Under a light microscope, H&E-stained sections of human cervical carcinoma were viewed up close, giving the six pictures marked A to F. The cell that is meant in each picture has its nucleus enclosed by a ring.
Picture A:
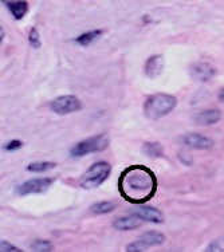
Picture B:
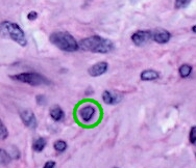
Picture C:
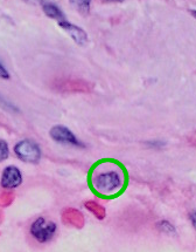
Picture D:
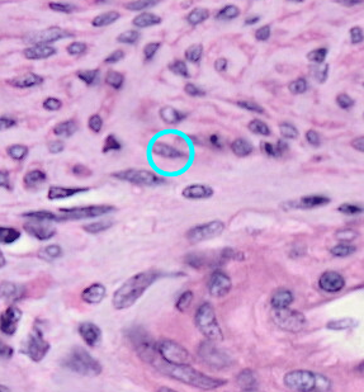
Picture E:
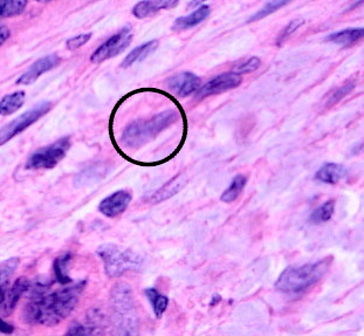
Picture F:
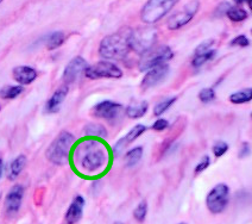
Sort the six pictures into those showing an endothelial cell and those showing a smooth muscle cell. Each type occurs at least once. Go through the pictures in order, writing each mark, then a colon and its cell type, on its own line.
A: smooth muscle cell
B: smooth muscle cell
C: endothelial cell
D: smooth muscle cell
E: endothelial cell
F: endothelial cell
